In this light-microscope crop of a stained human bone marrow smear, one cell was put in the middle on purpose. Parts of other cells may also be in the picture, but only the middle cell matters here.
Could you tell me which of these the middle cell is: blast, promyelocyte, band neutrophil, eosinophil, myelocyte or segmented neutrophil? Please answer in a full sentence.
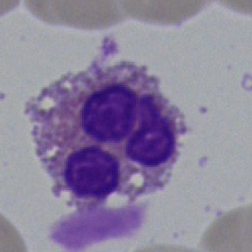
The cell at the central position in this crop is an eosinophil.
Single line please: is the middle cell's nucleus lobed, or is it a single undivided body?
Multiple nuclear lobes, two or more, can be counted in this cell.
